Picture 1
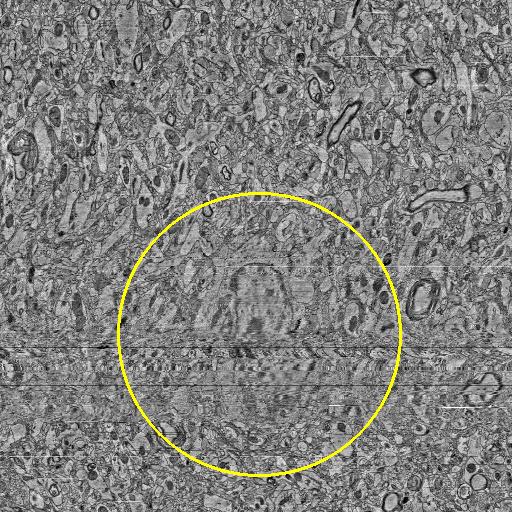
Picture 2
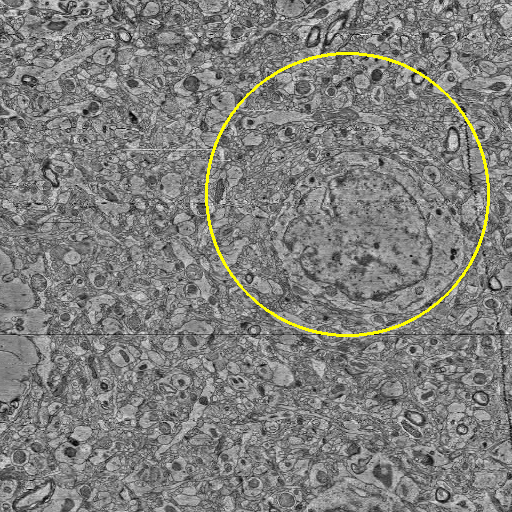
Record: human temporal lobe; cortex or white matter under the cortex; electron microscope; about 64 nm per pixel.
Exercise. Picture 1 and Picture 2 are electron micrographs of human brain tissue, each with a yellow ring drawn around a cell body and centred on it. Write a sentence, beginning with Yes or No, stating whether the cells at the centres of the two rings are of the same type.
Yes, the cells at the centres of both rings are of the same type.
